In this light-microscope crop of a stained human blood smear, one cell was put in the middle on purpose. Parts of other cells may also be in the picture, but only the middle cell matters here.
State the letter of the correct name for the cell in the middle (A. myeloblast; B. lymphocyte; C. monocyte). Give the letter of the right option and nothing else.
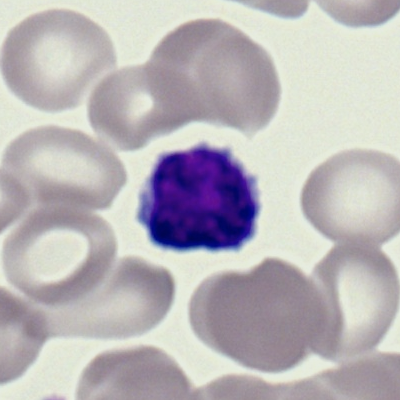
B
